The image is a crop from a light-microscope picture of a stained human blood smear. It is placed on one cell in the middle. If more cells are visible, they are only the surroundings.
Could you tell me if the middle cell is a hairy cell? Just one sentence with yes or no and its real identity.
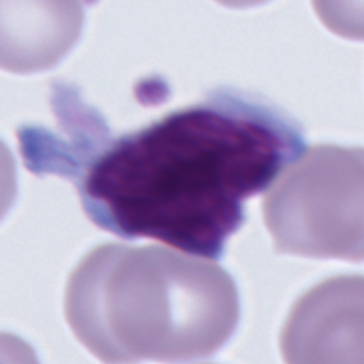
No, this one is a typical lymphocyte; it is not a hairy cell.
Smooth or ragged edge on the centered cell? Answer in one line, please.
Its surface contour departs from smoothness through ragged edges or outward projections.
